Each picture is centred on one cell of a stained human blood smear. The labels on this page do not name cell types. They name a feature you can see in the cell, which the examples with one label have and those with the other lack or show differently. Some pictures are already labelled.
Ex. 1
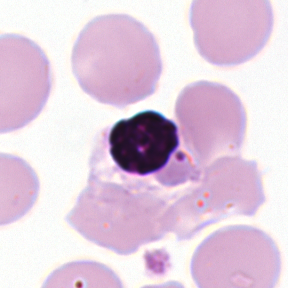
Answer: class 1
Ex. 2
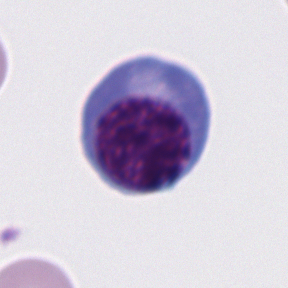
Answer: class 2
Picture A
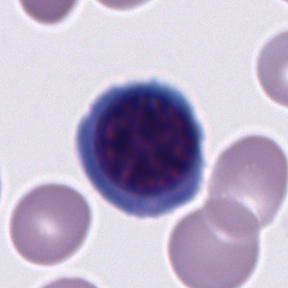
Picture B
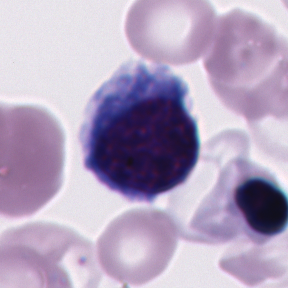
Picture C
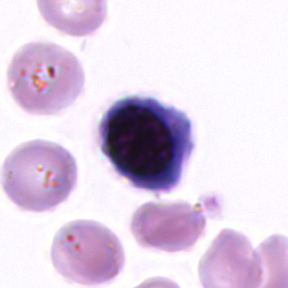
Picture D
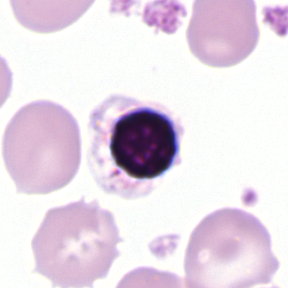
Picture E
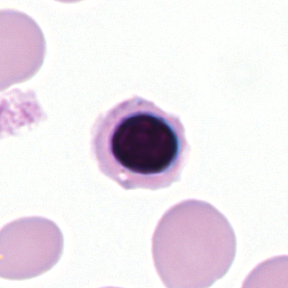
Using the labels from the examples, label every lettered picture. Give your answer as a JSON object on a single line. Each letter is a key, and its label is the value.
{"A": "class 2", "B": "class 2", "C": "class 2", "D": "class 1", "E": "class 1"}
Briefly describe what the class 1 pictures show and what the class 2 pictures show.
class 1, pink or nearly colourless cytoplasm; class 2, deep or dark blue cytoplasm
